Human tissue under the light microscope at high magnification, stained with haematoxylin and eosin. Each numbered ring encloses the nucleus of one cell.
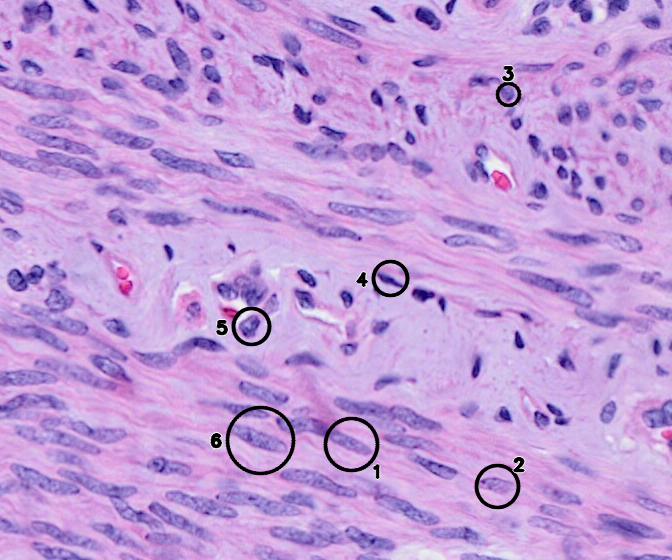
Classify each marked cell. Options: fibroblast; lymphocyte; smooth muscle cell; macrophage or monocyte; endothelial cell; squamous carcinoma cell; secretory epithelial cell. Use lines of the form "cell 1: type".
cell 1: smooth muscle cell
cell 2: smooth muscle cell
cell 3: smooth muscle cell
cell 4: fibroblast
cell 5: endothelial cell
cell 6: smooth muscle cell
